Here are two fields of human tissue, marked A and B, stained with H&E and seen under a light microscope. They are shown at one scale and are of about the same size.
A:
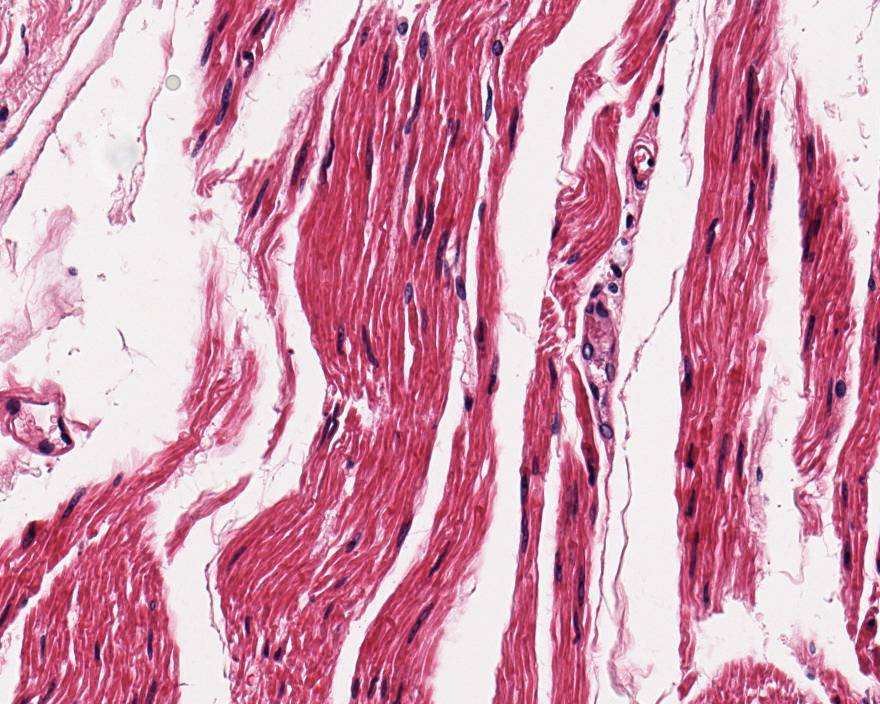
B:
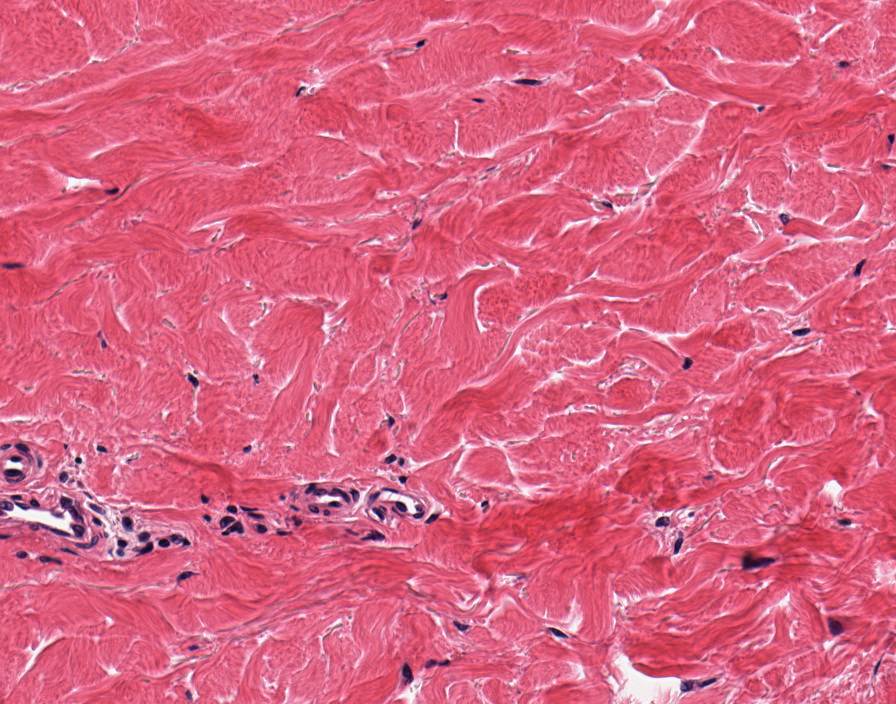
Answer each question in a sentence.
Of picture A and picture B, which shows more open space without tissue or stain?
It is picture A in which white space covers the larger part.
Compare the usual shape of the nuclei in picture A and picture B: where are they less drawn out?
Rounder nuclei lie in picture B.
